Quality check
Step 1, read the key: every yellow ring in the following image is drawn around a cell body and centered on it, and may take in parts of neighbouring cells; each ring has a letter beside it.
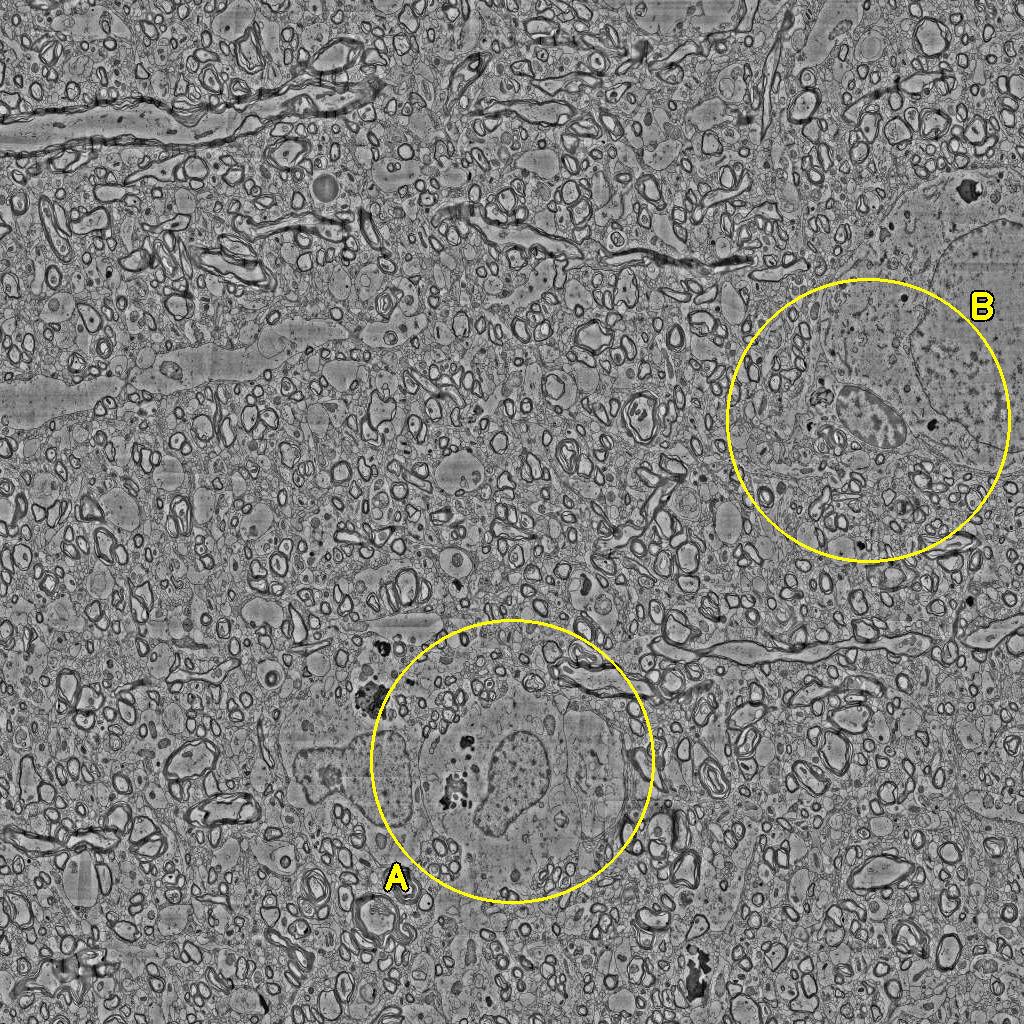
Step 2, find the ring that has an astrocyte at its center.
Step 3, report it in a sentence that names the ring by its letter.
Ring A is centered on that cell.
